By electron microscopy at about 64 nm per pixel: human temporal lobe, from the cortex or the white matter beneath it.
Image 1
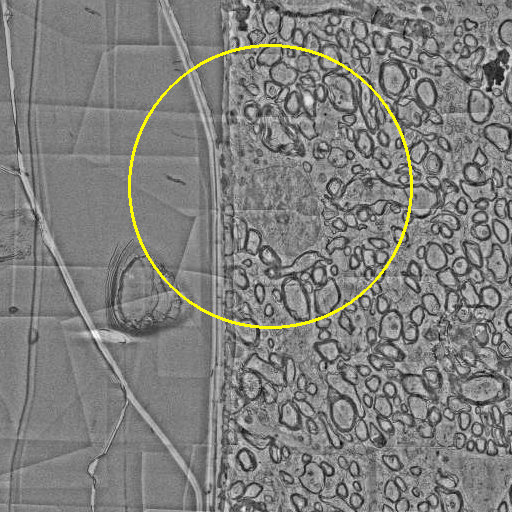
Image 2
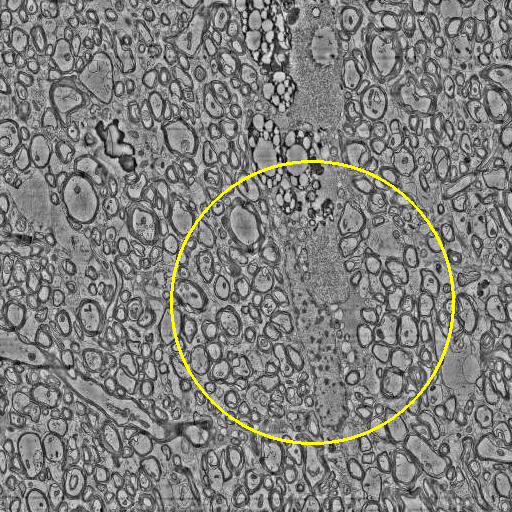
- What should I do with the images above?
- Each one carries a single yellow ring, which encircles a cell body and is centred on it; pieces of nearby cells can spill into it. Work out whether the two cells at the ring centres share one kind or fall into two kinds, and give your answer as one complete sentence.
The ring-centre cells of Image 1 and Image 2 fall into two kinds.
